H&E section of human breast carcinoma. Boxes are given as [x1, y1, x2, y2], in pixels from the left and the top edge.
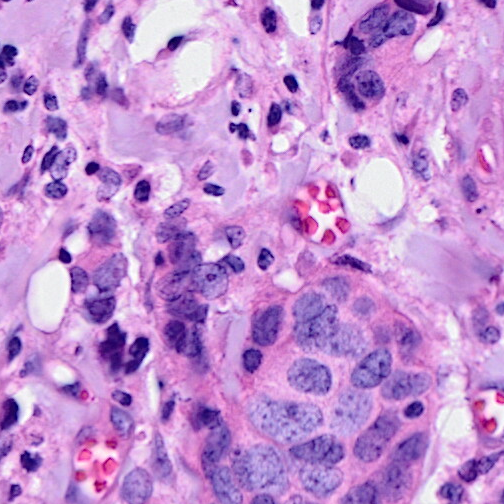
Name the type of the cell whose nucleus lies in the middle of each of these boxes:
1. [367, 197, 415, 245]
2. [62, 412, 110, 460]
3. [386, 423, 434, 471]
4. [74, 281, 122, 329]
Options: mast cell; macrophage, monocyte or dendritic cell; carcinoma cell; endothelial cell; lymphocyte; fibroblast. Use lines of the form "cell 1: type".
cell 1: fibroblast
cell 2: endothelial cell
cell 3: carcinoma cell
cell 4: carcinoma cell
